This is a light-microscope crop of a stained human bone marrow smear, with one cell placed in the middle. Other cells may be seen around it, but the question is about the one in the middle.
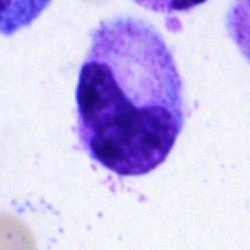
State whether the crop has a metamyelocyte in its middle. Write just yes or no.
yes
